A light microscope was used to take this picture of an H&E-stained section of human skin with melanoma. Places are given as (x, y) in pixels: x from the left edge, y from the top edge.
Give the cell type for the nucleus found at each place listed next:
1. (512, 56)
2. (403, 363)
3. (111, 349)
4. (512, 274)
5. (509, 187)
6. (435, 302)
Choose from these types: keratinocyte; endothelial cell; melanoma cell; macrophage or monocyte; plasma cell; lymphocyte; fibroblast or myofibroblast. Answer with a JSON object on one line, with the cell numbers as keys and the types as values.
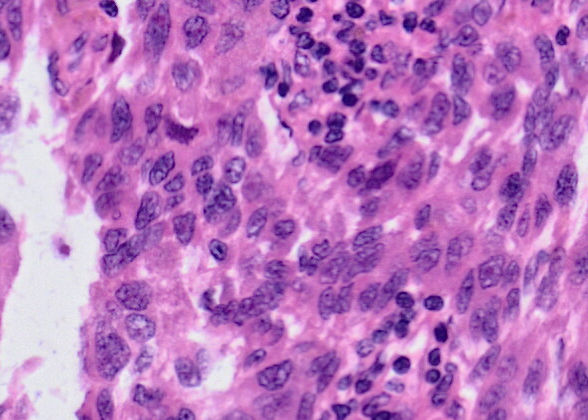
{"1": "melanoma cell", "2": "lymphocyte", "3": "melanoma cell", "4": "melanoma cell", "5": "melanoma cell", "6": "lymphocyte"}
